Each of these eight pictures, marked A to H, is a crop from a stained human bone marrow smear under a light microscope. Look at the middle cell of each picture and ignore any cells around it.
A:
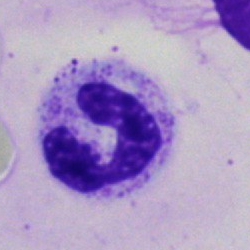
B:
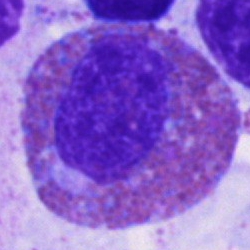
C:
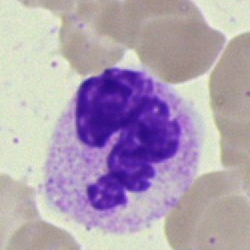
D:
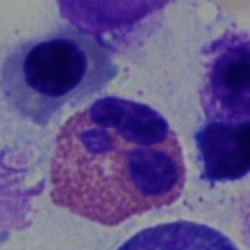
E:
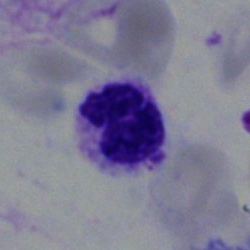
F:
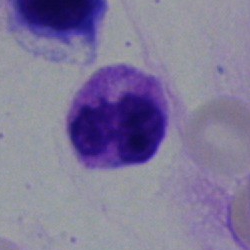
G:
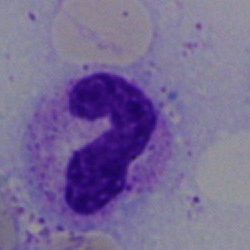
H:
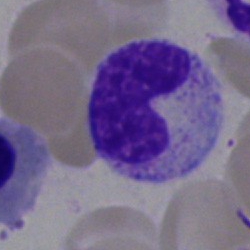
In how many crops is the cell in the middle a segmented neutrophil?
3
